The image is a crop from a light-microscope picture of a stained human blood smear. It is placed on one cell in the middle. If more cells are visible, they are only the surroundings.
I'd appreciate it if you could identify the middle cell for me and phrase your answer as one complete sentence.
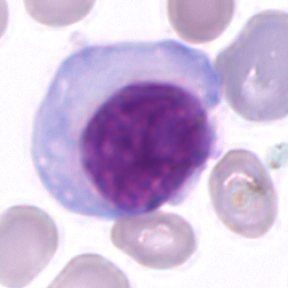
As for the central cell, it is a plasma cell.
